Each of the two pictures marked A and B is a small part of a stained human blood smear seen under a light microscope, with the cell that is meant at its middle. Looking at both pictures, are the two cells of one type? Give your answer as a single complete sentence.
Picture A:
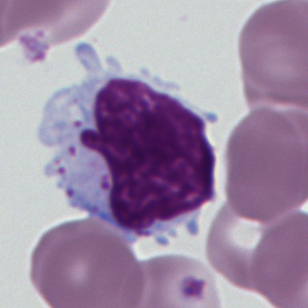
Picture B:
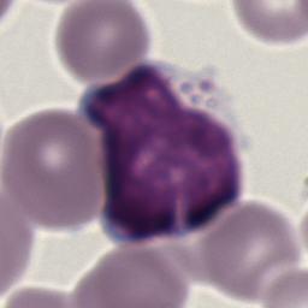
Yes; the cells in both pictures are large granular lymphocytes.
